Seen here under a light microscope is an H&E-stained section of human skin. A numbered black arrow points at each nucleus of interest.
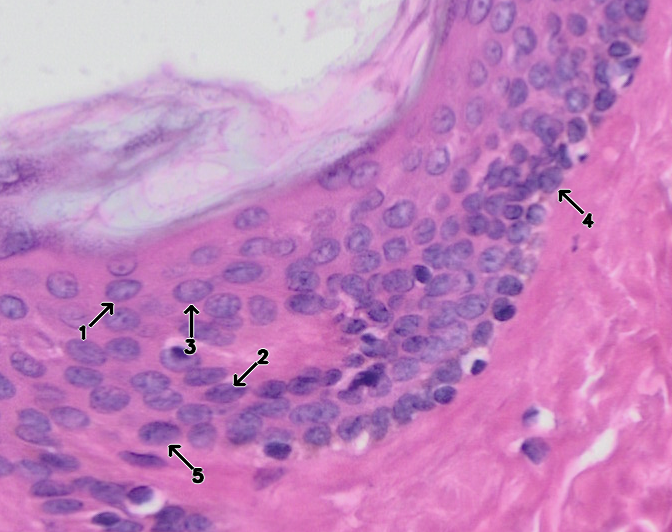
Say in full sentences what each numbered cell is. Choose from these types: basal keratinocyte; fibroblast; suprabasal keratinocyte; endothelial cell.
Cells 1 and 3 are suprabasal keratinocytes. Cells 2, 4 and 5 are basal keratinocytes.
